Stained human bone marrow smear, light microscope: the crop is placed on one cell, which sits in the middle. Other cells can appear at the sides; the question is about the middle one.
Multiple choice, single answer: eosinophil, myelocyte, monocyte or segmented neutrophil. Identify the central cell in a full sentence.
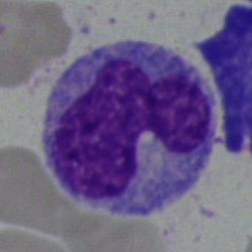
Of the cells in this crop, the central one is a monocyte.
